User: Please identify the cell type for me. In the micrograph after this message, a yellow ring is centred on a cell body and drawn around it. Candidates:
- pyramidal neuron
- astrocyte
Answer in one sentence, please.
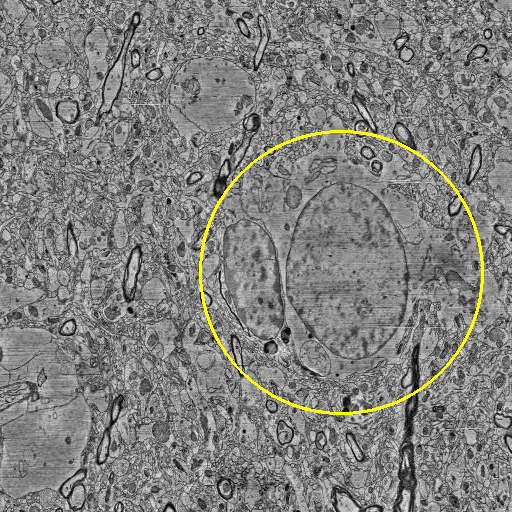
The ring is drawn around the cell body of an astrocyte.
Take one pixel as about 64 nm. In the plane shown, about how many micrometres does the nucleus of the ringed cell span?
Approximately 12 micrometres long and 8 micrometres wide, so clearly longer than it is wide in this plane.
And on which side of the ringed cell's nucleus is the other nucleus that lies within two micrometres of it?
The other nucleus is positioned to the left of it.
